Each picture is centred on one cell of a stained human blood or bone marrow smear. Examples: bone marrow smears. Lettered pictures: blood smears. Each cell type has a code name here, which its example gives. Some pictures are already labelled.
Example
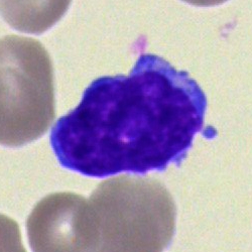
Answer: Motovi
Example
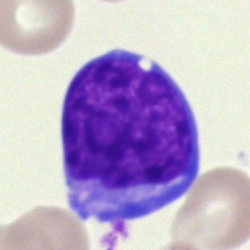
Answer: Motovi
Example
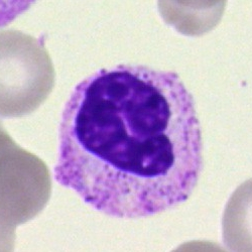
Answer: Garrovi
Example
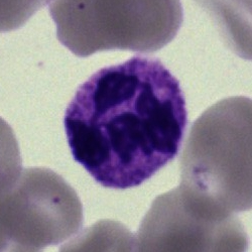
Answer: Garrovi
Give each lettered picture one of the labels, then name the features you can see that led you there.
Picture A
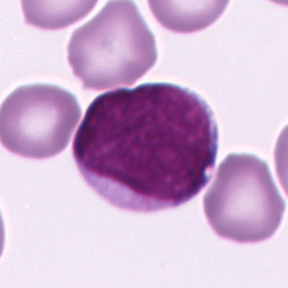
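Motovi. Reason: The cytoplasm is scant, forming a thin crescent along the lower edge of the cell.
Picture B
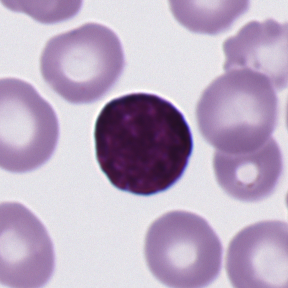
Motovi. Reason: Cytoplasm is at most a barely visible thin rim around the nucleus.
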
